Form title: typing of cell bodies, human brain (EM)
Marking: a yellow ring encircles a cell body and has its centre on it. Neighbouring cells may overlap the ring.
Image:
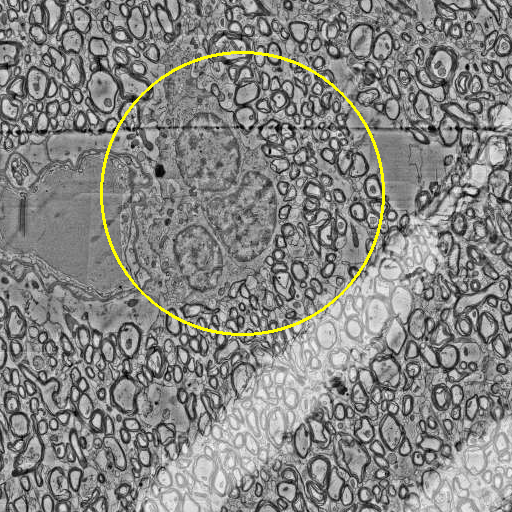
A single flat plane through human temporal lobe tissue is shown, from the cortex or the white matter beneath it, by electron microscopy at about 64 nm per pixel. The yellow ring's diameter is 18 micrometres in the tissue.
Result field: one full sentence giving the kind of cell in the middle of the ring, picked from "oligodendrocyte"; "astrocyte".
In the picture, the ring is centred on an oligodendrocyte, whose cell body it encircles.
